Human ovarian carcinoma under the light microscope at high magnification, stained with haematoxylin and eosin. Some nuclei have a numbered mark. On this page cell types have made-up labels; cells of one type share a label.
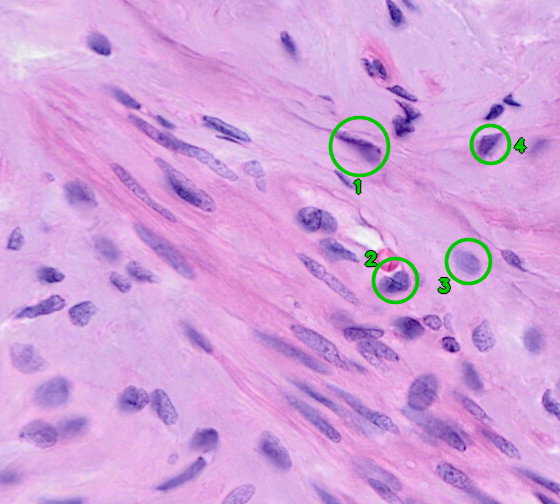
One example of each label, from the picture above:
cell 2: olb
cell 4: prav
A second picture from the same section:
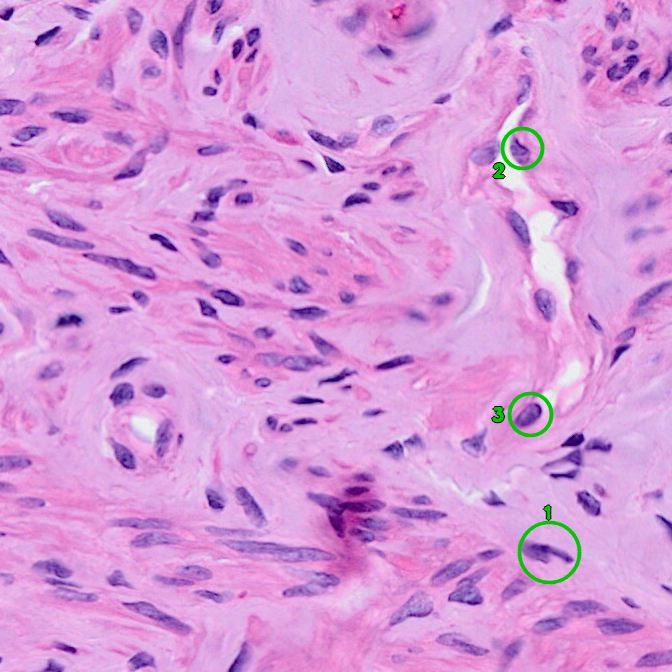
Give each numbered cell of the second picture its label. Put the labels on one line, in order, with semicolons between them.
prav; olb; olb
